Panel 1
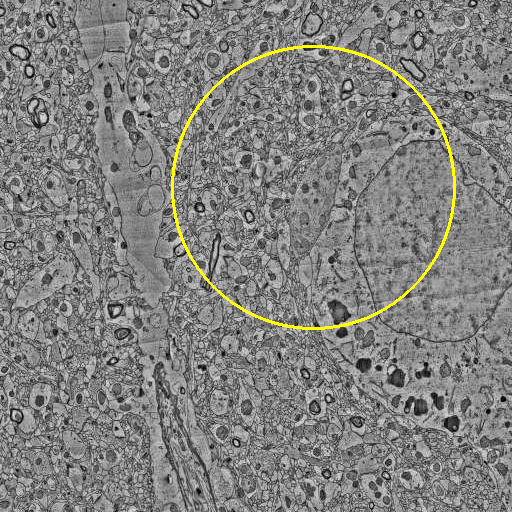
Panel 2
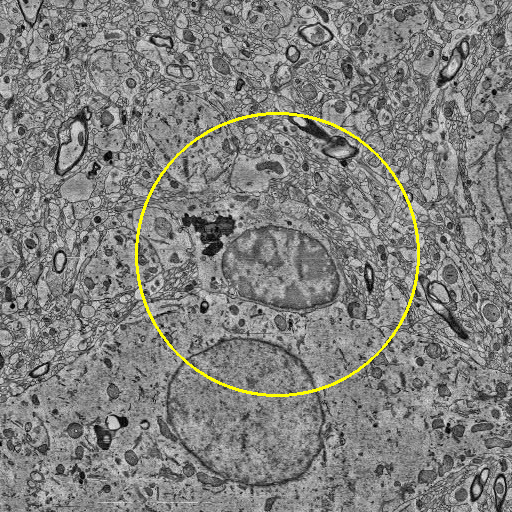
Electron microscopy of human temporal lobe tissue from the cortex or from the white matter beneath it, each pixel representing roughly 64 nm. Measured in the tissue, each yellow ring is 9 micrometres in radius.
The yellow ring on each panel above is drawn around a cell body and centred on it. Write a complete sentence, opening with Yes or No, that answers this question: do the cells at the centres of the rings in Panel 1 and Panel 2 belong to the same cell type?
Yes, both cells belong to the same cell type.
